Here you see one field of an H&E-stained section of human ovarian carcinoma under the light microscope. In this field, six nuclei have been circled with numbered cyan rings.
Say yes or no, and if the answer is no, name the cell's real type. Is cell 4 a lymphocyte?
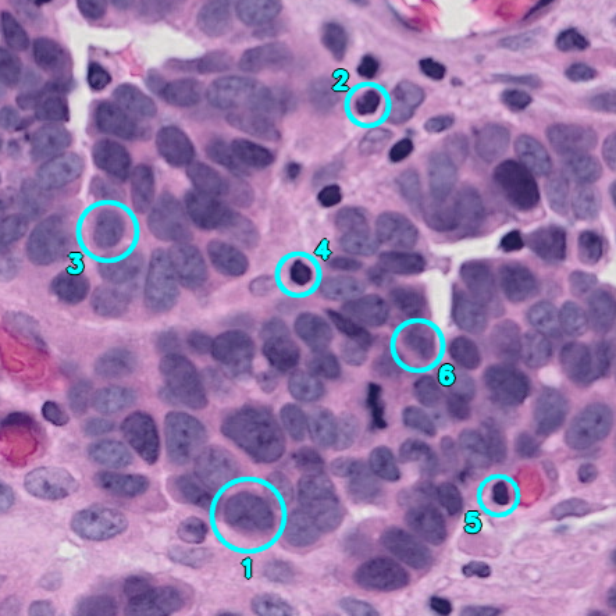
Yes.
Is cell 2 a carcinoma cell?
No, it is a lymphocyte.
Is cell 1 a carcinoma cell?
Yes.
